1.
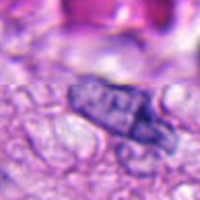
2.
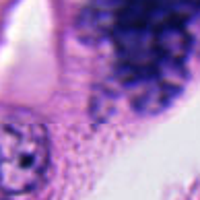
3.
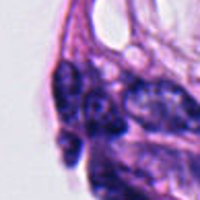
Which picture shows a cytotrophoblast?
Picture 3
